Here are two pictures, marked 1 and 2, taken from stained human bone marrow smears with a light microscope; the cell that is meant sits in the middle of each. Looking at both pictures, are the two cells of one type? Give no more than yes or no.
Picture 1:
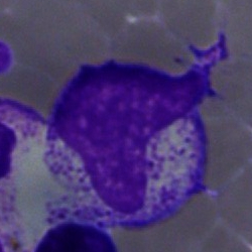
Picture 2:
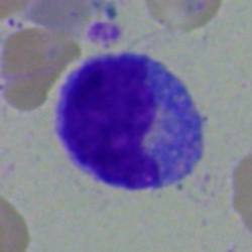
no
